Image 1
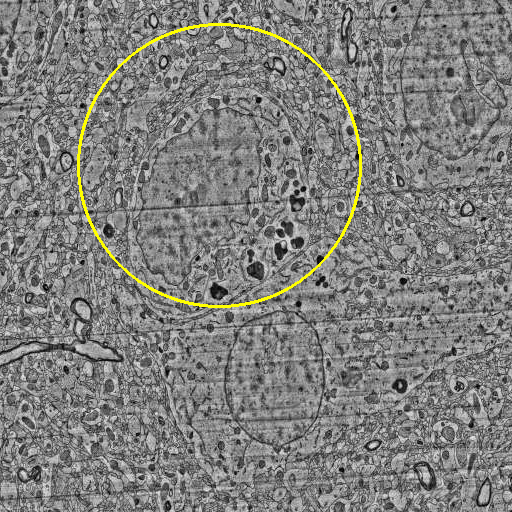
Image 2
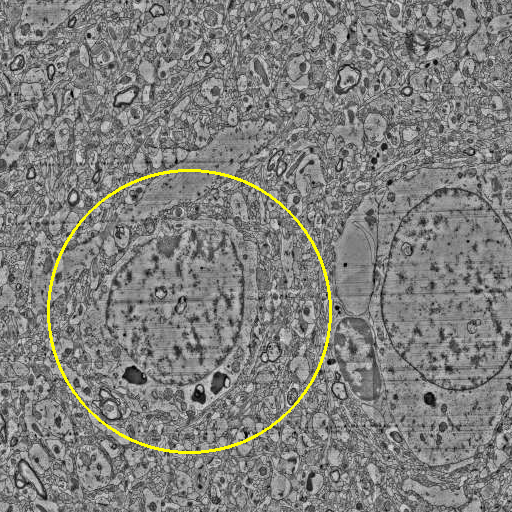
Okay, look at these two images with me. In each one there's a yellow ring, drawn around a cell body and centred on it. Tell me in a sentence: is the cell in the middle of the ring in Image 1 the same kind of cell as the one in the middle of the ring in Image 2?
Yes, they're the same kind of cell.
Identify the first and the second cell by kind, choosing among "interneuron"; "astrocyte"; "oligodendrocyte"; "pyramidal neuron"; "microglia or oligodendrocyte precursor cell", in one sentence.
Each of the ringed cells, first and second, is an interneuron.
